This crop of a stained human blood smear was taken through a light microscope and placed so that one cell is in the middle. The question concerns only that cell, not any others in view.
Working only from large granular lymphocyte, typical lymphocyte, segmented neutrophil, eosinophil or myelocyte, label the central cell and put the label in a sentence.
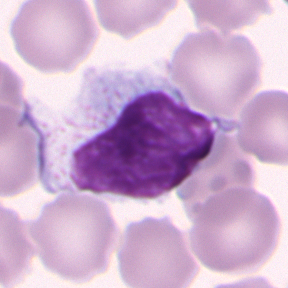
The crop's centre is taken up by a large granular lymphocyte.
